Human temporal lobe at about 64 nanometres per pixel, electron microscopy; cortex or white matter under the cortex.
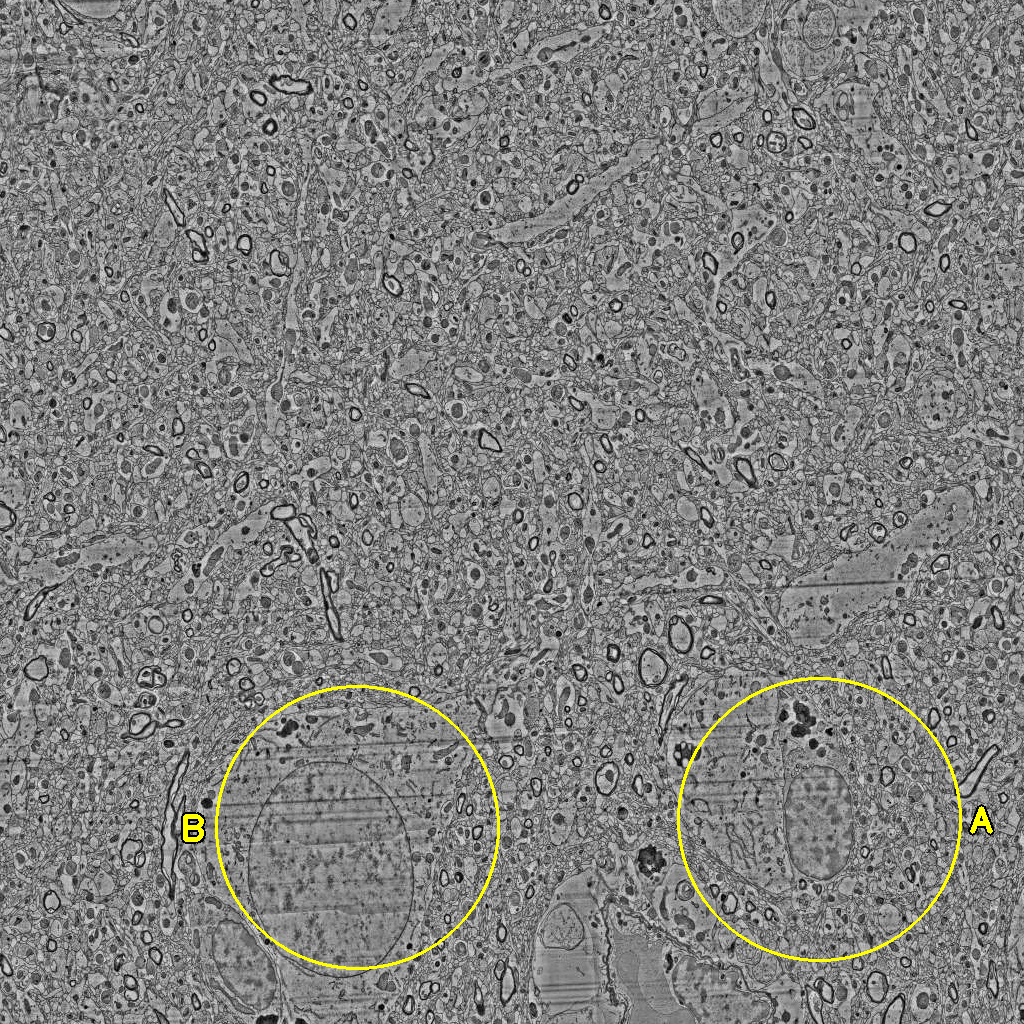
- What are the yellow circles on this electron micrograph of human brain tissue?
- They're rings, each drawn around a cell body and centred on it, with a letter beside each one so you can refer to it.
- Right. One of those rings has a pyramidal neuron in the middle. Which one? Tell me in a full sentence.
It's ring B.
